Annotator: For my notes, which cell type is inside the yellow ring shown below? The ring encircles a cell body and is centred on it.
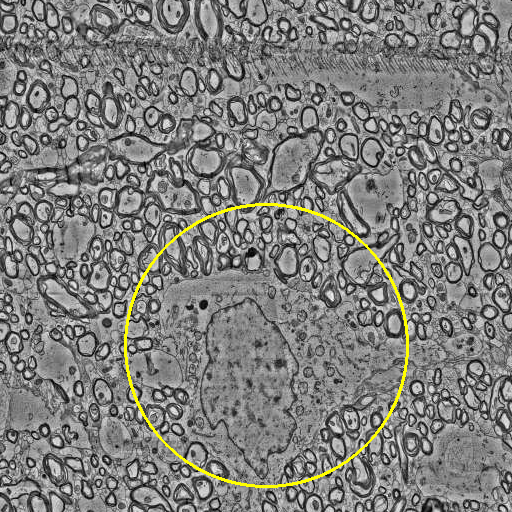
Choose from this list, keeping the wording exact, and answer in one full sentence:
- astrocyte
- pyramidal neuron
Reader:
At the centre of the yellow ring there is a pyramidal neuron, as shown in the picture.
